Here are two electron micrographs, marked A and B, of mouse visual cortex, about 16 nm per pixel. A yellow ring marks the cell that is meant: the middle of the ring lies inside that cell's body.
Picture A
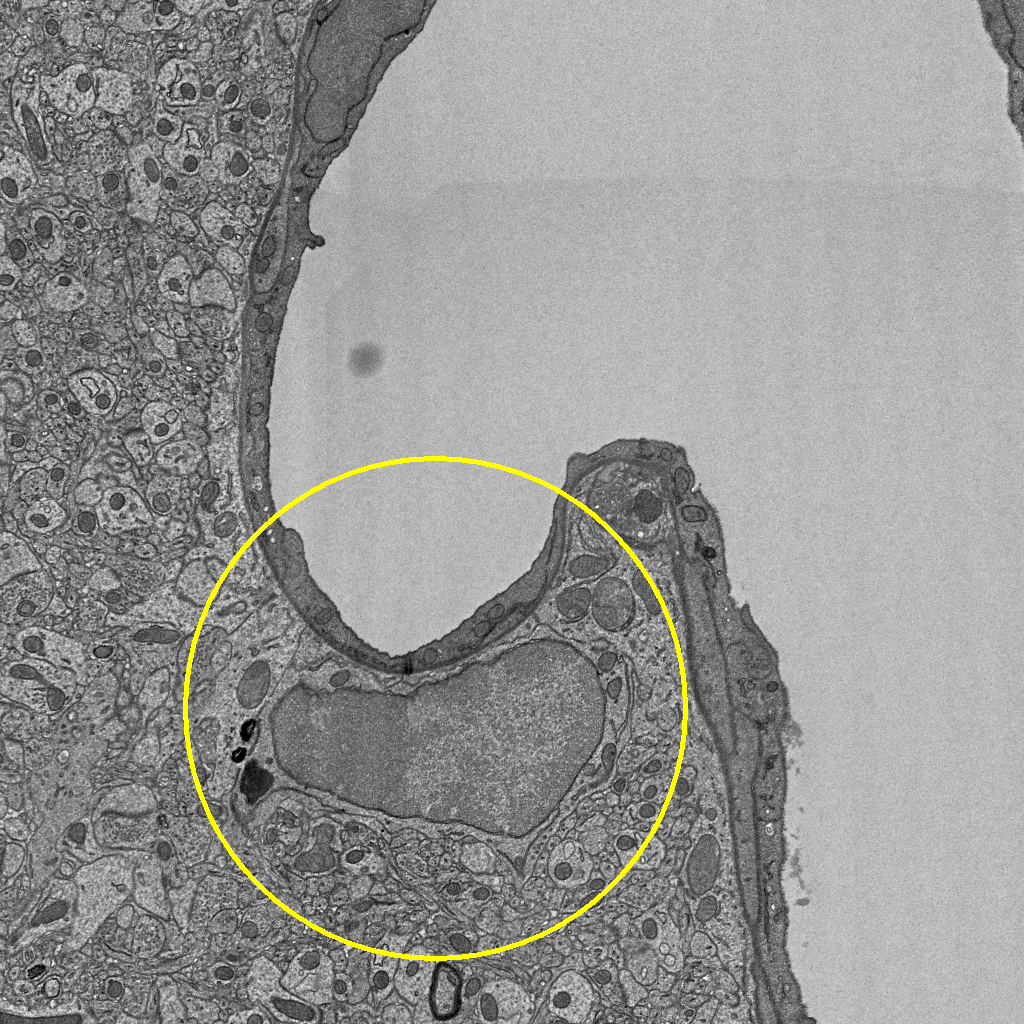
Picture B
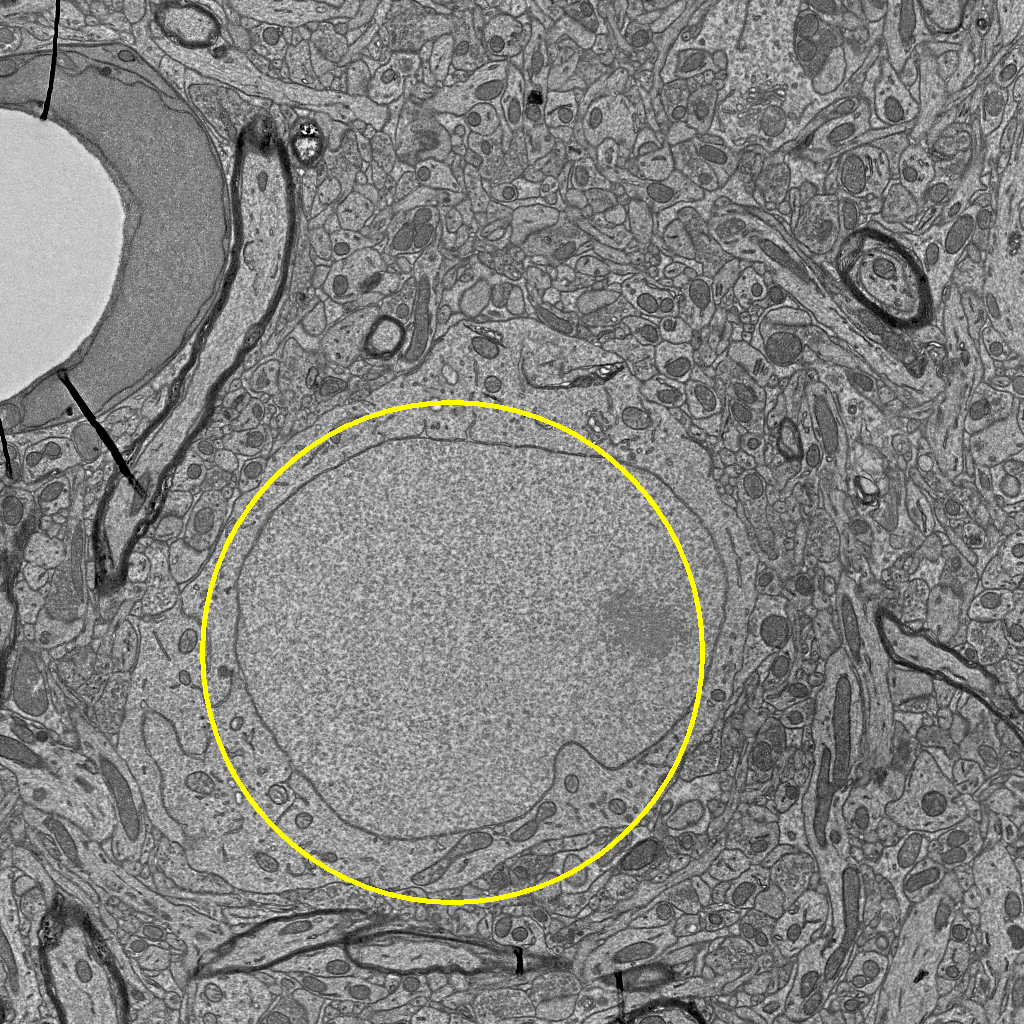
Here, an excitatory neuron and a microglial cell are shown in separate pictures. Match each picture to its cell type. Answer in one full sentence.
The cell in picture A is a microglial cell, and the one in picture B is an excitatory neuron.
